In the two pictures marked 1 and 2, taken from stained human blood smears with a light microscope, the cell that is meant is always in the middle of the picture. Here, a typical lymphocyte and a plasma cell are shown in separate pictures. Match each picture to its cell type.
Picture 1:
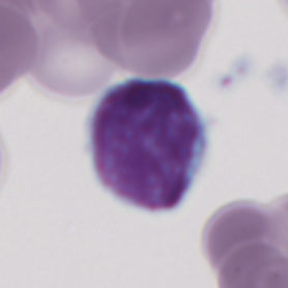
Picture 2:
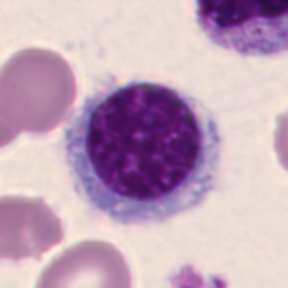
1: typical lymphocyte
2: plasma cell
